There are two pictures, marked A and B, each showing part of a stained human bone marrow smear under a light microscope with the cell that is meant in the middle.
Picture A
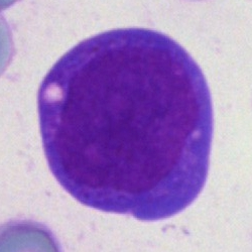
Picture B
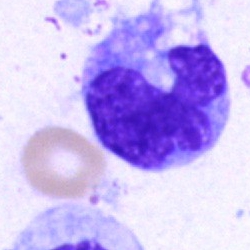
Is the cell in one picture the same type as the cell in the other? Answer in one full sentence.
No. Picture A shows a blast, but picture B shows a monocyte.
